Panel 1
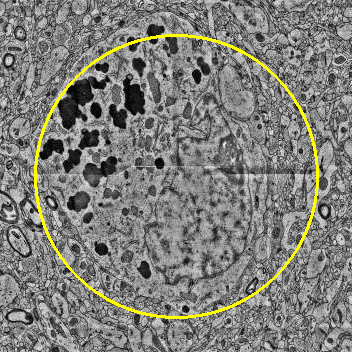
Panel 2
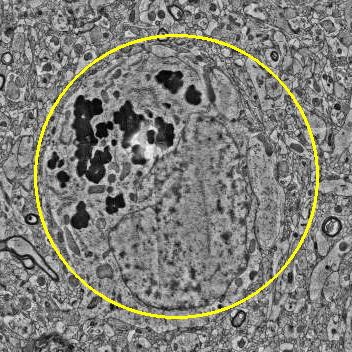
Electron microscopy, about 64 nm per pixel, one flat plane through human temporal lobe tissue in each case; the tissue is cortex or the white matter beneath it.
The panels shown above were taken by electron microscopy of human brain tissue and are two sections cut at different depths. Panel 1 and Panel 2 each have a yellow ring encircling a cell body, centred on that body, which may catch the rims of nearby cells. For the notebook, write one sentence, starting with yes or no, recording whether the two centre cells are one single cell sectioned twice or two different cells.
Yes, the two rings encircle a single cell, not a pair.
